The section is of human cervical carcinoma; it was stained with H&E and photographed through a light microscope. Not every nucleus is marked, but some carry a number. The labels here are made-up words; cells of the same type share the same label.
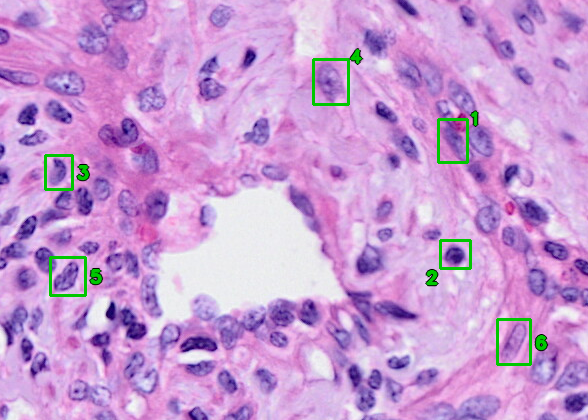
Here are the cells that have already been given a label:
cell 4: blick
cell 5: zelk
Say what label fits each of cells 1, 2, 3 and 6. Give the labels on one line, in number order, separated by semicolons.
blick; zelk; zelk; blick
